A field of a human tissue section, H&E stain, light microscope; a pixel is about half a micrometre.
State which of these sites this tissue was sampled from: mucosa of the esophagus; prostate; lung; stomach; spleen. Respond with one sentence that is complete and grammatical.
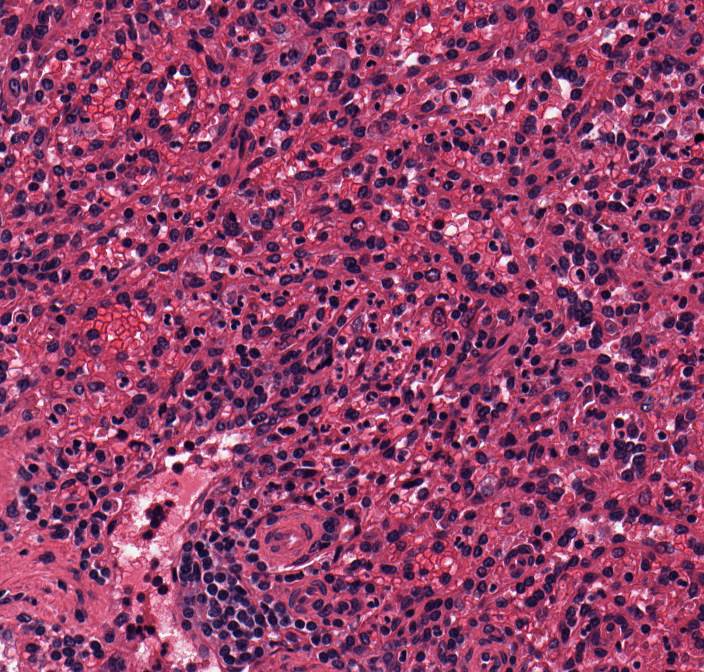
From the spleen came the tissue in this section.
